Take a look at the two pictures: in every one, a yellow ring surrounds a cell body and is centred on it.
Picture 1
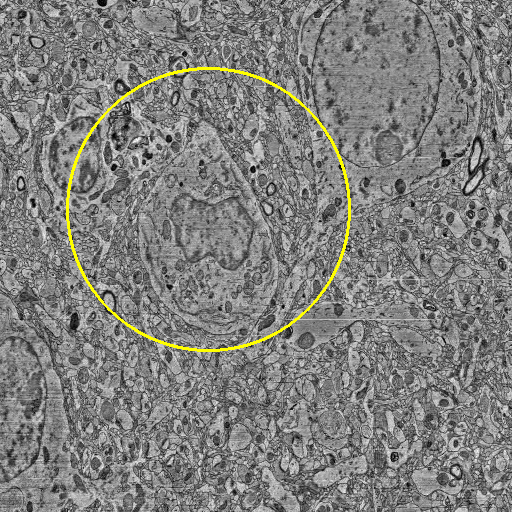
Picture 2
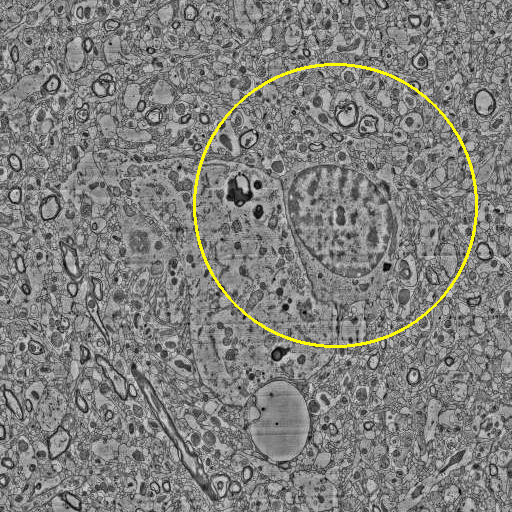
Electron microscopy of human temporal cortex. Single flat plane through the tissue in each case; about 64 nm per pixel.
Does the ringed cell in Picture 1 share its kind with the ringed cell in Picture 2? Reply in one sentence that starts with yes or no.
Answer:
No, the two centred cells, one per picture, are of two kinds.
